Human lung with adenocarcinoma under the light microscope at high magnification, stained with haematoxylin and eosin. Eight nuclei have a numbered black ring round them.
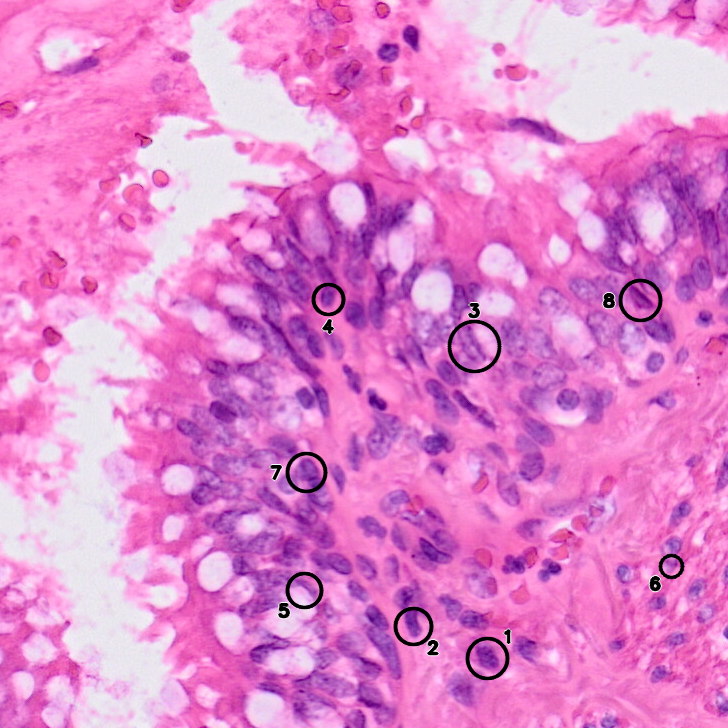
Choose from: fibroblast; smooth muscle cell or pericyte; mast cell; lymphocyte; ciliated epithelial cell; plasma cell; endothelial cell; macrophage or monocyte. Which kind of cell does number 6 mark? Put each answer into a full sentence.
The label 6 in this section denotes a smooth muscle cell or pericyte.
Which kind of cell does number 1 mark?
Cell 1 should be recorded as a plasma cell.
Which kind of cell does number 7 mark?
The cell indicated with the number 7 is classed as a ciliated epithelial cell.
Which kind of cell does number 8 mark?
Cell 8 is classified as a ciliated epithelial cell.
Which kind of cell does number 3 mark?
Number 3 among the marked cells is a ciliated epithelial cell.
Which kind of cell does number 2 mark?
The correct answer for cell 2 is a lymphocyte.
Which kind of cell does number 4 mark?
The nucleus with number 4 is that of a ciliated epithelial cell.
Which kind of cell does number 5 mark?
The one numbered 5 among the marked cells is a ciliated epithelial cell.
